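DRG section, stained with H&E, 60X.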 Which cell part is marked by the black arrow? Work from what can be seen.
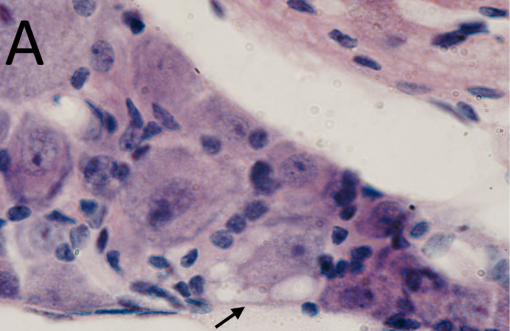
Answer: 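The arrow points to clear, round empty spaces inside the cytoplasm of a large cell. The spaces are unstained against the pink-purple cytoplasm. The answer: Cytoplasmic vacuoles.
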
